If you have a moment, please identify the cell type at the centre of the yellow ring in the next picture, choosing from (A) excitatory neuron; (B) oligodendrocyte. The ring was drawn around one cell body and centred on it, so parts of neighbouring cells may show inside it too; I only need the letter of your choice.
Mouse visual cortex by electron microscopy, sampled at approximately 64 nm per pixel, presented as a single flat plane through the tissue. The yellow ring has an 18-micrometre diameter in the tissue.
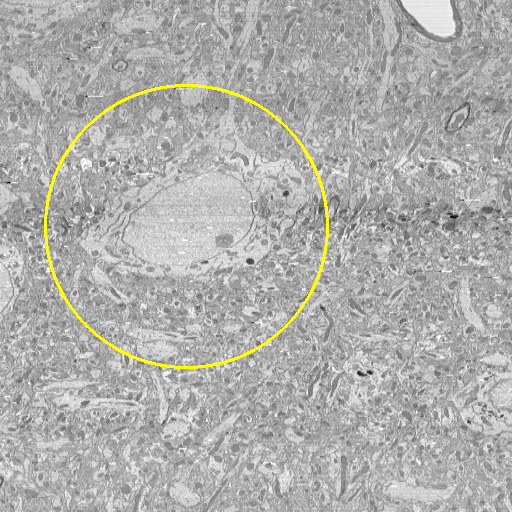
A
